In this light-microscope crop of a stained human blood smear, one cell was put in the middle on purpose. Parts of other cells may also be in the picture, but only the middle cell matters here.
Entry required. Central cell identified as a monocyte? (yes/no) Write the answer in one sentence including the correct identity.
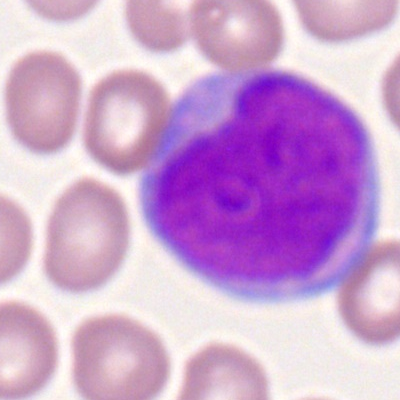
No, mark the middle cell as a myeloblast, not a monocyte.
